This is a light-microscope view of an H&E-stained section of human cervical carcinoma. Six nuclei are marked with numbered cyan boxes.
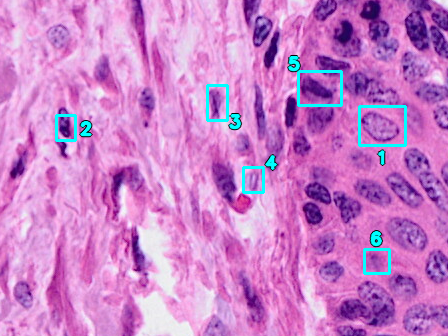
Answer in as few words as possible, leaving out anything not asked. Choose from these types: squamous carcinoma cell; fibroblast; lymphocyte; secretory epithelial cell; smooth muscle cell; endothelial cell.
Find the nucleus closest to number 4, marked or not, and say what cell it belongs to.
endothelial cell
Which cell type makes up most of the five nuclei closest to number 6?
squamous carcinoma cell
